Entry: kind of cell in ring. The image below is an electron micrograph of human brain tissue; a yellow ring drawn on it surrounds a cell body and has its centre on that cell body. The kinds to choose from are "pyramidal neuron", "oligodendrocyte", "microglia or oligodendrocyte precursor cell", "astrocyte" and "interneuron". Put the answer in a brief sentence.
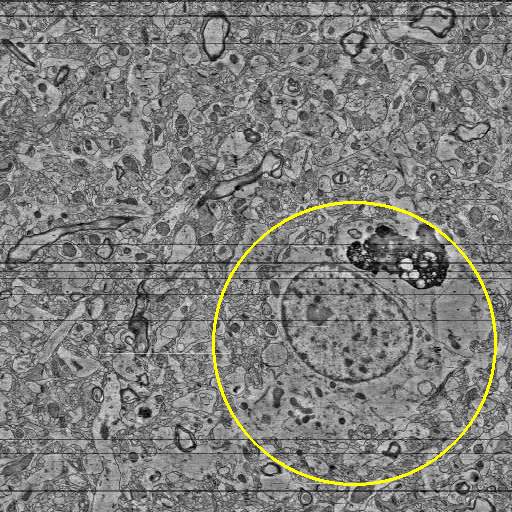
The ring has been drawn around an astrocyte.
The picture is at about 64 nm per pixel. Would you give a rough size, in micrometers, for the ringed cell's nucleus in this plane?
About 9 by 7 micrometres in this plane.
